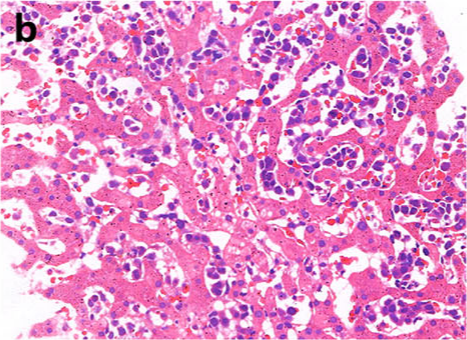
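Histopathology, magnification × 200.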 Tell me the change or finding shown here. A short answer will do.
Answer: the hepatic sinusoids were markedly expanded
